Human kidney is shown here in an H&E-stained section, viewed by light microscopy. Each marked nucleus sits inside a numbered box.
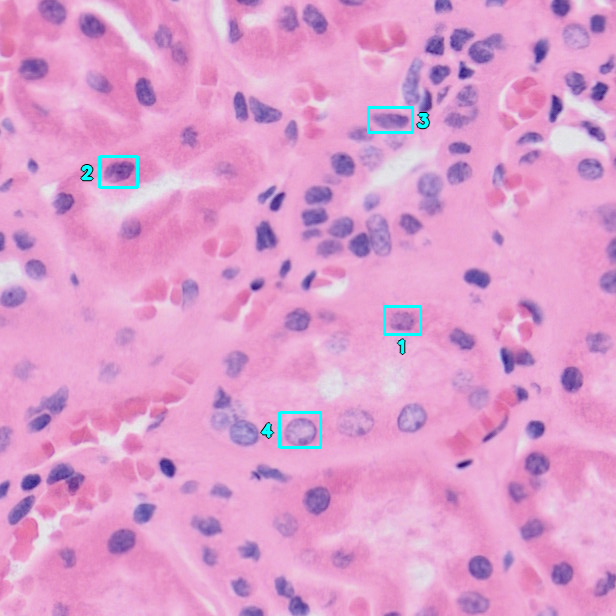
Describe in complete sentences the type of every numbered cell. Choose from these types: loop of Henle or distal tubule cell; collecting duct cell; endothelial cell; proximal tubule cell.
Cells 1, 2 and 4 are proximal tubule cells. Cell 3 is a collecting duct cell.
